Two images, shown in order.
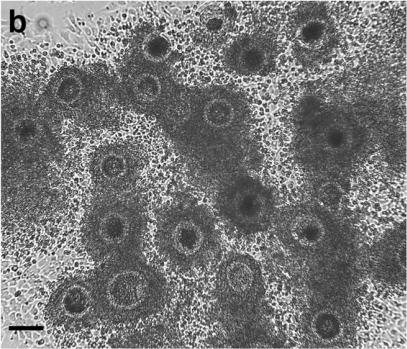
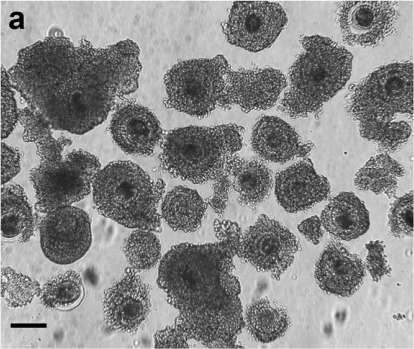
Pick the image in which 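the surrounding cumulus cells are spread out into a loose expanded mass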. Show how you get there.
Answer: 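First image: oocytes are embedded in a wide, loose sheet of dispersed cells merging between complexes. On this evidence: the first image.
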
